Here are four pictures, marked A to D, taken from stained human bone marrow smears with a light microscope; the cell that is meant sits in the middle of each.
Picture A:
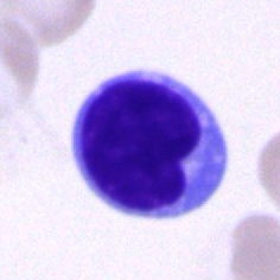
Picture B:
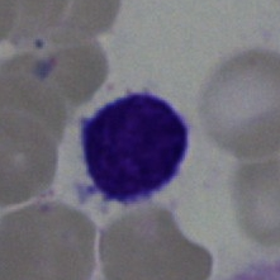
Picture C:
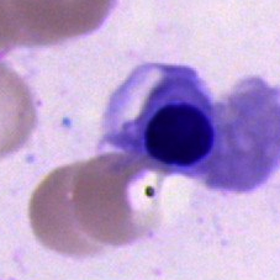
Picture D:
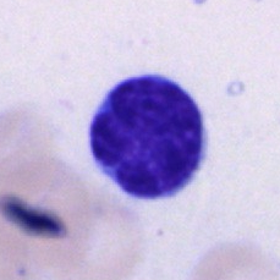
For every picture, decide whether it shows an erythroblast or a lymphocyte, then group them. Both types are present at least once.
A: lymphocyte
B: lymphocyte
C: erythroblast
D: lymphocyte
